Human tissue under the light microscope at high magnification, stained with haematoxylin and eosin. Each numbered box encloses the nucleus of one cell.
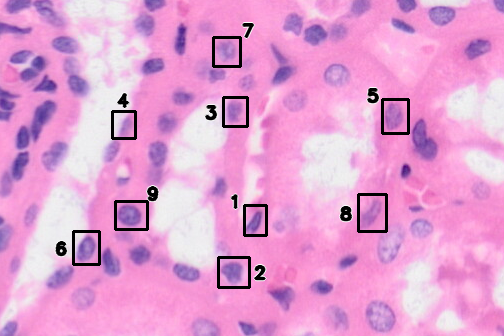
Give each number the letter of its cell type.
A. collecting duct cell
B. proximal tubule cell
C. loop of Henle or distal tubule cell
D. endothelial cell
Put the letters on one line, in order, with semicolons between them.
D; C; C; C; B; C; C; B; A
